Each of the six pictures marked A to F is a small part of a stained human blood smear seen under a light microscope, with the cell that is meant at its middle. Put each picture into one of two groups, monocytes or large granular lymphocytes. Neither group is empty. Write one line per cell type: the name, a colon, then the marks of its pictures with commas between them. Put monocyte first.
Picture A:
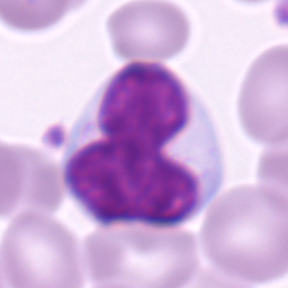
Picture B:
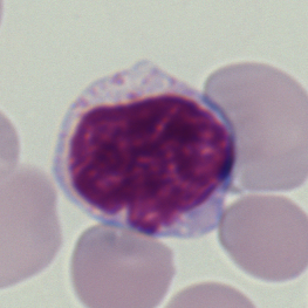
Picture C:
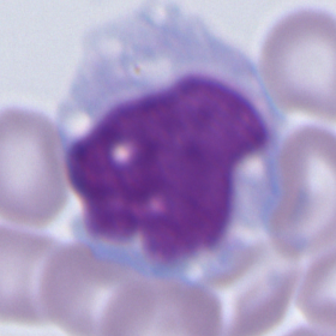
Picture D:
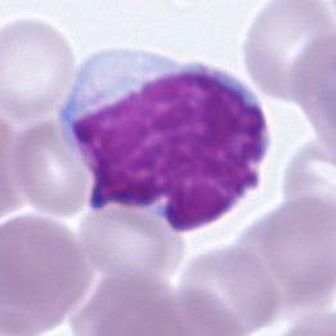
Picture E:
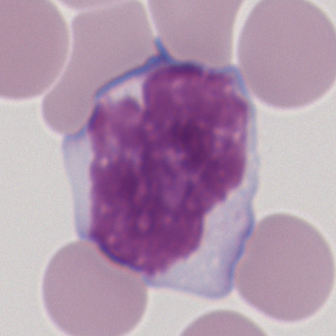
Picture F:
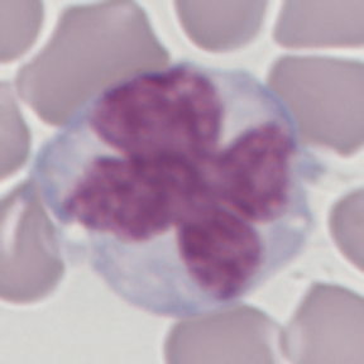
monocyte: C, E, F
large granular lymphocyte: A, B, D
